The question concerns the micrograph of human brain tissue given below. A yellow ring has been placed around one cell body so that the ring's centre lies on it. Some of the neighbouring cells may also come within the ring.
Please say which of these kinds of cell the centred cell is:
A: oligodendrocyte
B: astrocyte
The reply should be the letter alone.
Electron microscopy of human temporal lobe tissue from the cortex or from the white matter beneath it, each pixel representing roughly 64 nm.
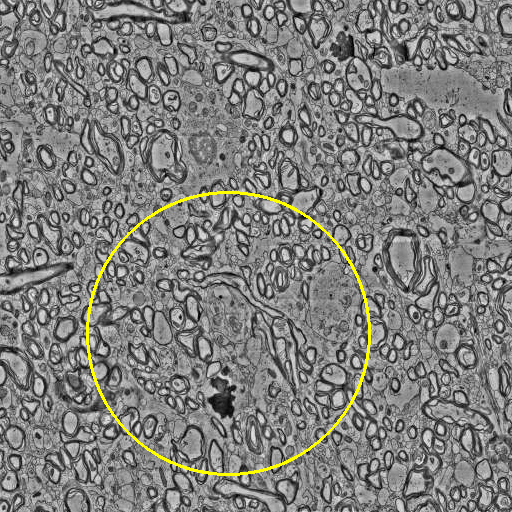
B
